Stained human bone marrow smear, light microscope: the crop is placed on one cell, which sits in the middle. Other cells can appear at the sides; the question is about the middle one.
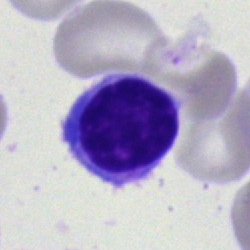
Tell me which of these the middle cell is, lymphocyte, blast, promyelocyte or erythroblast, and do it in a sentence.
The crop shows a lymphocyte in its centre.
